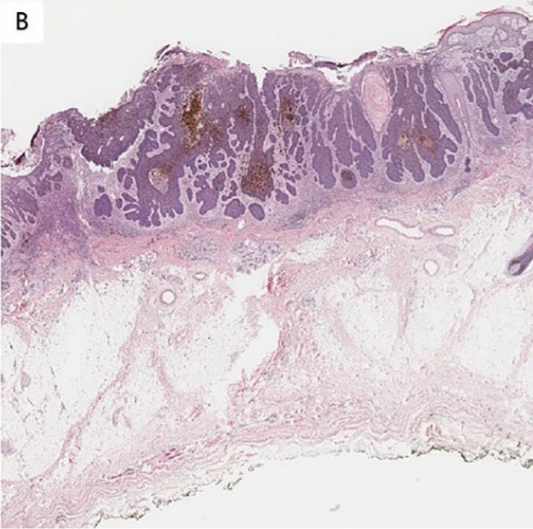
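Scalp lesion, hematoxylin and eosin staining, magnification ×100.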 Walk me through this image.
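At low power this skin section shows dark purple basal-like tumor masses confined to the upper part of the dermis, several of them hanging from and continuous with the surface epithelium. The masses form elongated cords and rounded islands, some with brown pigment inside. The surface layer is irregular, thinned and partly missing. Below the tumor band the dermis is pale pink and loose, with scattered small vessels, and the tumor does not reach the deep part of the section.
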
